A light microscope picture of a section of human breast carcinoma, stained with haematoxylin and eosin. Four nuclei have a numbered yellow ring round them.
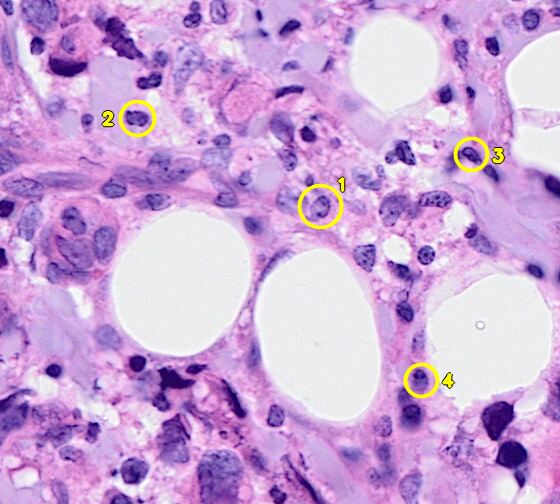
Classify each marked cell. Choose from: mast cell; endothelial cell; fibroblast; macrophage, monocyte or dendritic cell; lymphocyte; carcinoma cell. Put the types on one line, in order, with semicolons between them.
macrophage, monocyte or dendritic cell; lymphocyte; lymphocyte; mast cell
